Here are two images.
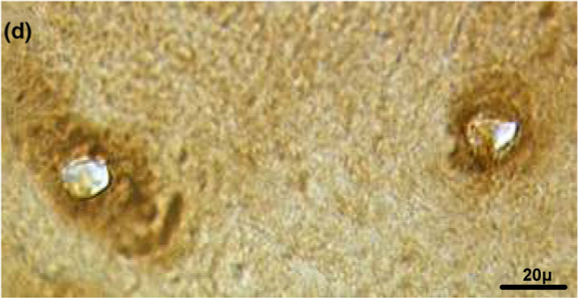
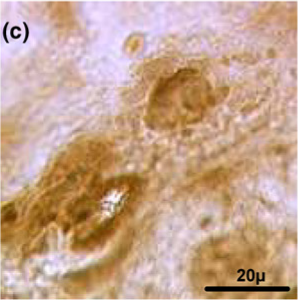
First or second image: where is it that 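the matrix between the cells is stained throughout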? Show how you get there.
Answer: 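Second image: the matrix between stained cell rims is largely pale. First image: the whole matrix background is evenly brown besides the darker rims. On this evidence: the first image.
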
